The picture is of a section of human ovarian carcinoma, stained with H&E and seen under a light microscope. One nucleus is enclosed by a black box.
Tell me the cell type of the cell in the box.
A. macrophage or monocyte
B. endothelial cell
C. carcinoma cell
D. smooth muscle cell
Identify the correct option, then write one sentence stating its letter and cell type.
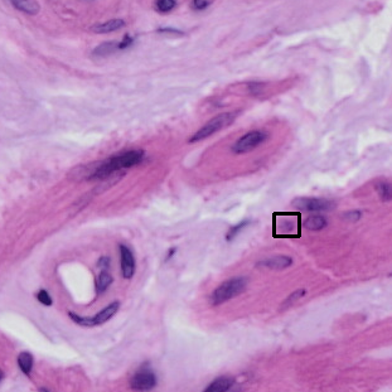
Option D, which has the cell in the box as a smooth muscle cell, is the correct choice.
